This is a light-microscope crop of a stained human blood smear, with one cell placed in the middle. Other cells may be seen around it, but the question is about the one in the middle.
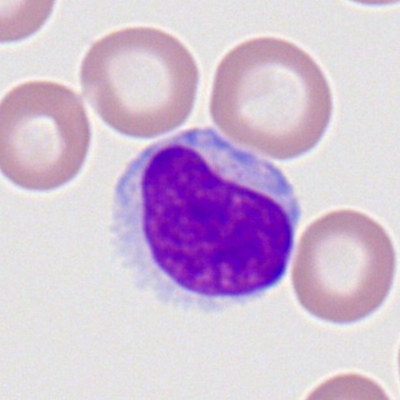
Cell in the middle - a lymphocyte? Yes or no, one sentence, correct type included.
Yes, the cell at the middle of the field is to be classed as a lymphocyte.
